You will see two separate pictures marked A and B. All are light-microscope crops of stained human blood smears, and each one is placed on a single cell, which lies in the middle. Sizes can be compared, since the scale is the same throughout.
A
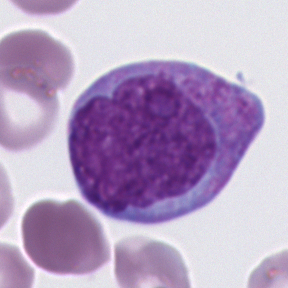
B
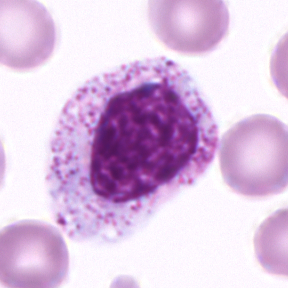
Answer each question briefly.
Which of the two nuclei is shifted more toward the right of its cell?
B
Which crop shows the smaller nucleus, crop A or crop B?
B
